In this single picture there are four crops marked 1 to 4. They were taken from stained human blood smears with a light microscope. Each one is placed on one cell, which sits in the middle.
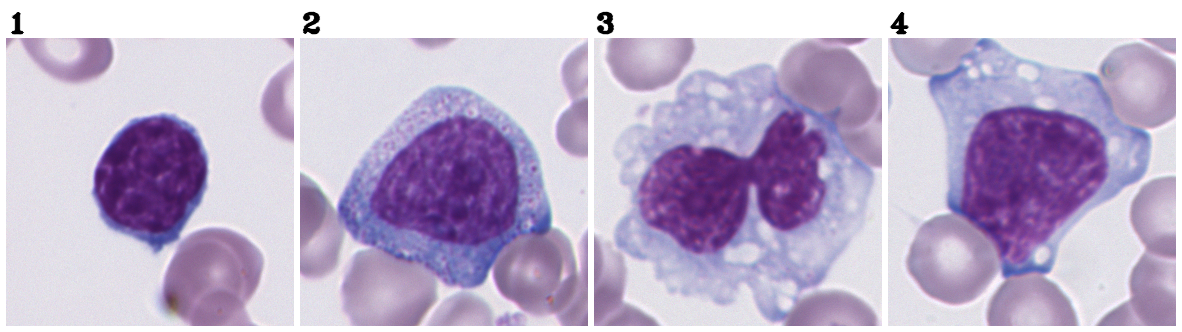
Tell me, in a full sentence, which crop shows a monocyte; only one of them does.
The crop marked 3 is the one that shows a monocyte.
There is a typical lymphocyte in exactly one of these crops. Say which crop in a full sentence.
In this series, a typical lymphocyte is shown by crop 1.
